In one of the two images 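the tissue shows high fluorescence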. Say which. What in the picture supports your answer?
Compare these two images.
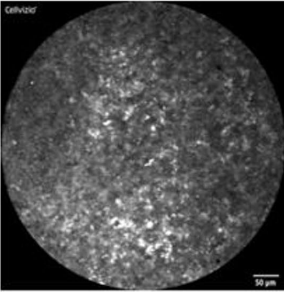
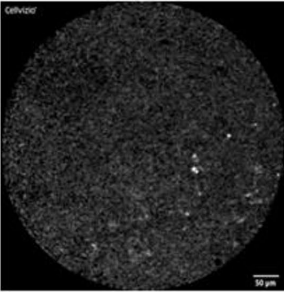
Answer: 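Second image: faint, sparse grey speckle over a dark field. First image: many bright granular spots across the field.
Conclusion: the first image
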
